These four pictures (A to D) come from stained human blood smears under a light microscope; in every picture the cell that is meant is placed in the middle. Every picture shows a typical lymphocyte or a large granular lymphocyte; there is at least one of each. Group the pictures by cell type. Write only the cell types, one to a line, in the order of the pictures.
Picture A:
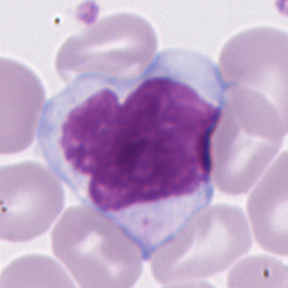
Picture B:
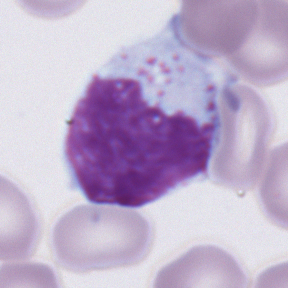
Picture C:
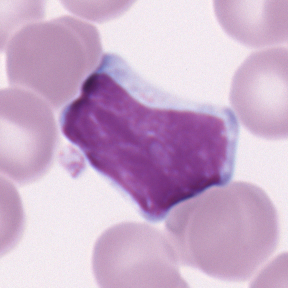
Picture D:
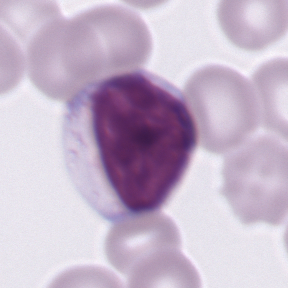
large granular lymphocyte
large granular lymphocyte
typical lymphocyte
large granular lymphocyte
